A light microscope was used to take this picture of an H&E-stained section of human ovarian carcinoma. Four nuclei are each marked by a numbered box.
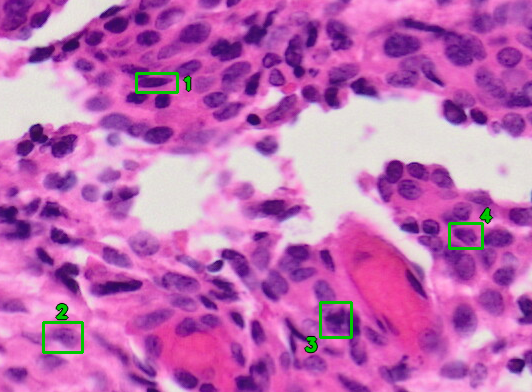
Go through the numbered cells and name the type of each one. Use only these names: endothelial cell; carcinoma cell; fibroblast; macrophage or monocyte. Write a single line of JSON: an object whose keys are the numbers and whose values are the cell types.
{"1": "carcinoma cell", "2": "fibroblast", "3": "carcinoma cell", "4": "carcinoma cell"}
